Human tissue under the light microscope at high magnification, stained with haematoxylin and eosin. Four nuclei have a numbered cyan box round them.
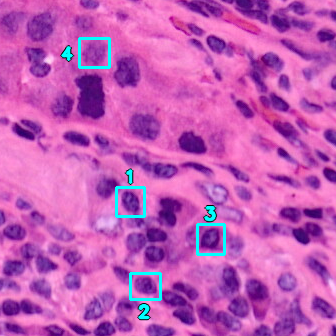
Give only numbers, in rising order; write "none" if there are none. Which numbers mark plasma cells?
3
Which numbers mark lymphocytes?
1, 2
